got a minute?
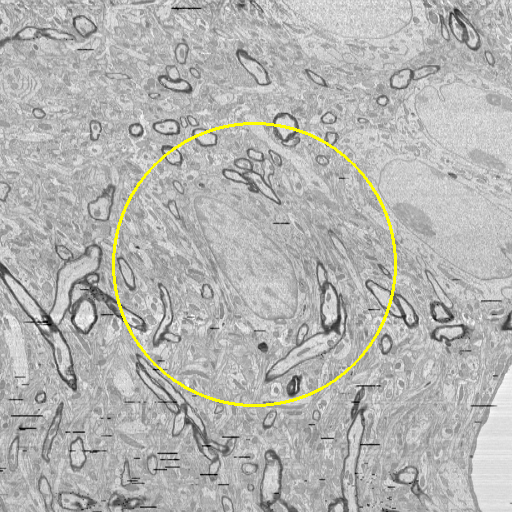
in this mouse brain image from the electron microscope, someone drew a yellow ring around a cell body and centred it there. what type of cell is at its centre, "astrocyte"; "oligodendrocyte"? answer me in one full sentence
It's an oligodendrocyte at the middle of that yellow ring in the shot.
